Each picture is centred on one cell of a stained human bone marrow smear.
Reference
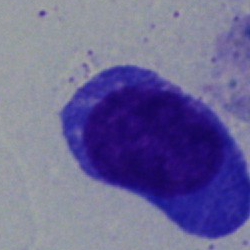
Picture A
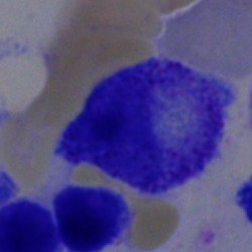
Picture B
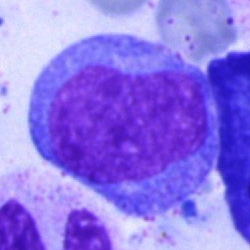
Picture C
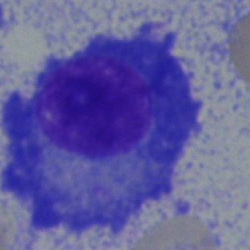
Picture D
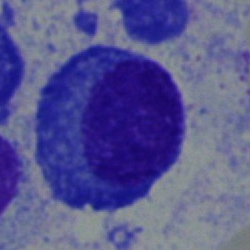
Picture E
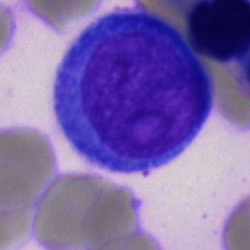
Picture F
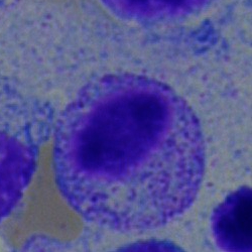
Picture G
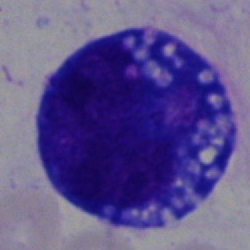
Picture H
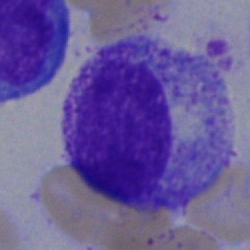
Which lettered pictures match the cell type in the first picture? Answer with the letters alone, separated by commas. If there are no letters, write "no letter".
C, D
